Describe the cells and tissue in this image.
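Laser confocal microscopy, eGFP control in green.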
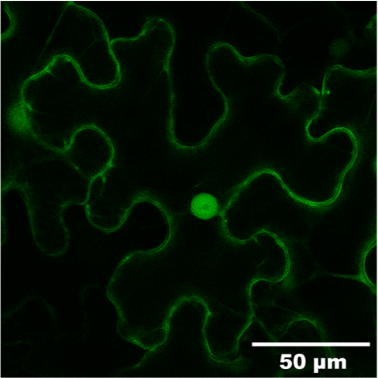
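Leaf cells with deeply lobed, jigsaw-like outlines, each cell bounded by a thin, continuous green line along its periphery. A bright, round green body lies near the centre of the middle cell. Faint green strands run through the otherwise dark cell interiors.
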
